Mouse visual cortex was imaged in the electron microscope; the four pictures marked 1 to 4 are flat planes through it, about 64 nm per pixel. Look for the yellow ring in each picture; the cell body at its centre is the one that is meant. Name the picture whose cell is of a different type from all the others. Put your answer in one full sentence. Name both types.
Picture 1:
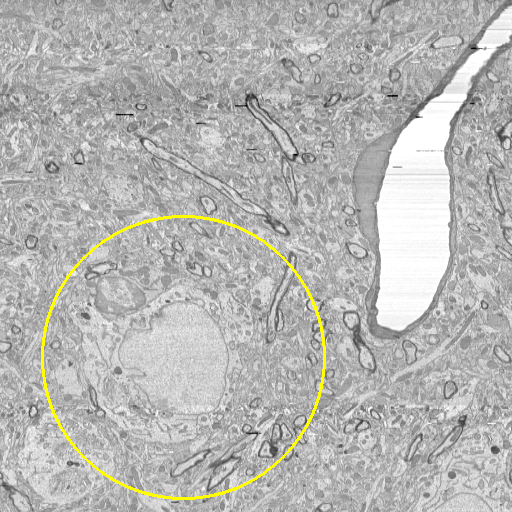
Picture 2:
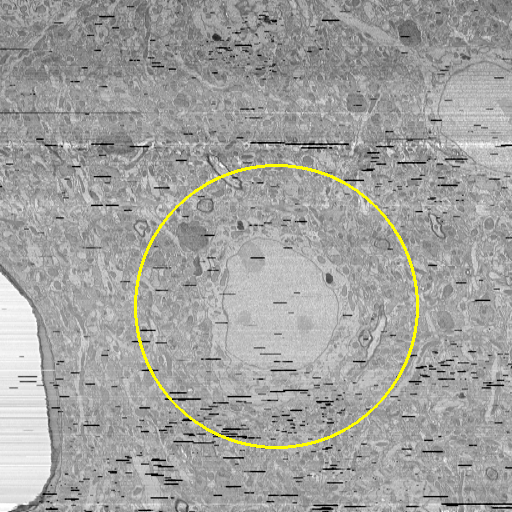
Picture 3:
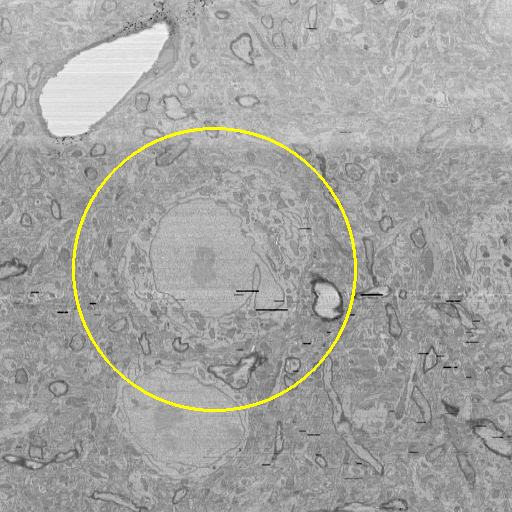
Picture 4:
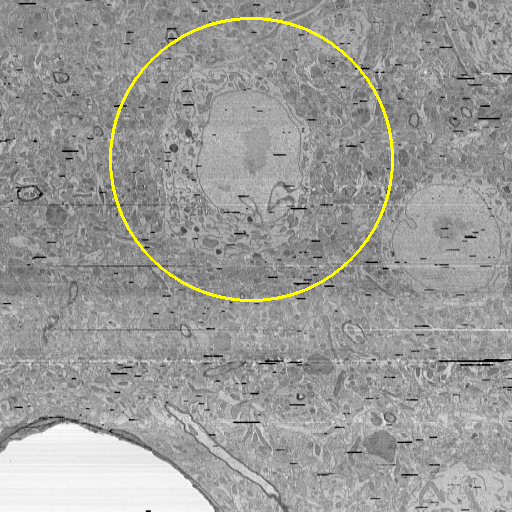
The others show inhibitory neurons, but picture 2 shows an excitatory neuron.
